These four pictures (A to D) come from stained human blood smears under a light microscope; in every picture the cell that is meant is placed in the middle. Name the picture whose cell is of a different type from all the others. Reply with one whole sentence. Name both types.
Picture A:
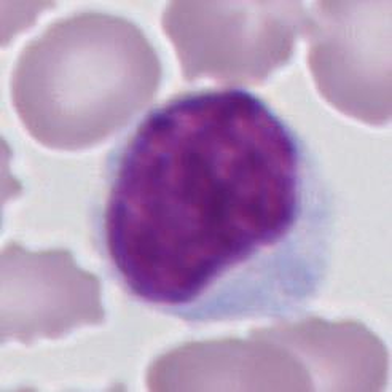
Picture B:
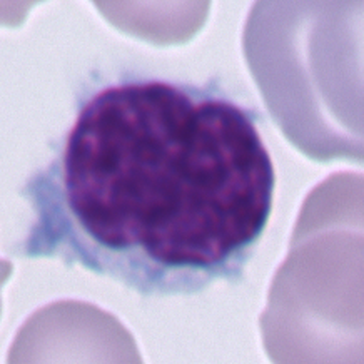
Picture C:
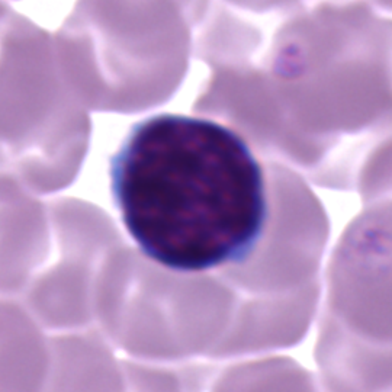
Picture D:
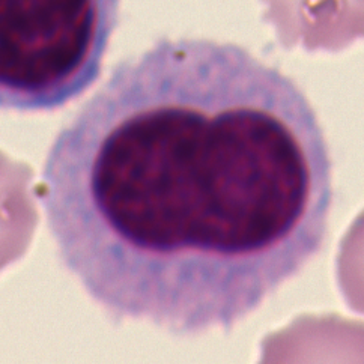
Picture C is the odd one out: it shows a typical lymphocyte, while the others show hairy cells.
